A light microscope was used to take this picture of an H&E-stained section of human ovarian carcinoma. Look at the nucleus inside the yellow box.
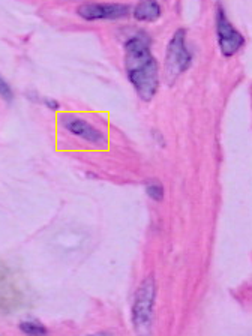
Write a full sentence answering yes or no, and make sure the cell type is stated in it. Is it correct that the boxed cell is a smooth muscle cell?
Yes, the boxed cell is rightly regarded as a smooth muscle cell.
